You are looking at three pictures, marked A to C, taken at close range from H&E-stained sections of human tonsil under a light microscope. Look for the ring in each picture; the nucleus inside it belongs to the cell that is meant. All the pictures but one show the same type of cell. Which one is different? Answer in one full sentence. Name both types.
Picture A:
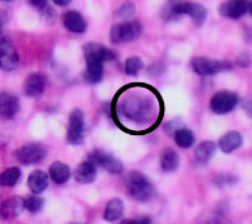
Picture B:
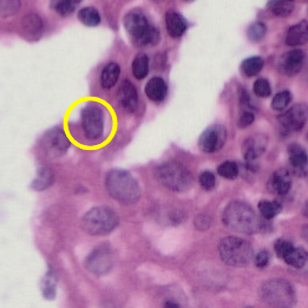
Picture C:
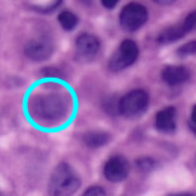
Unlike the rest, which show squamous epithelial cells, picture A shows a proliferating B cell.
